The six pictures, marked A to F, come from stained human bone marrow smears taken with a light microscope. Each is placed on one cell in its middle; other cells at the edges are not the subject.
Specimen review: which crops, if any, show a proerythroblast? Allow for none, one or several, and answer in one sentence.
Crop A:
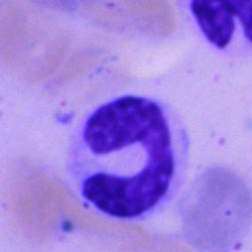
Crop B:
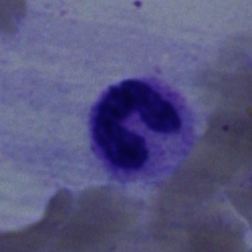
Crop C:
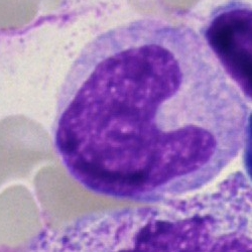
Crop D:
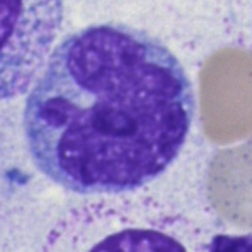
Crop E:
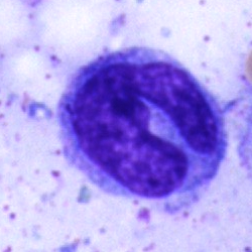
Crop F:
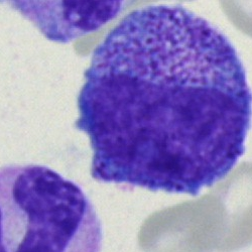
Absent from every one of the crops is a proerythroblast.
